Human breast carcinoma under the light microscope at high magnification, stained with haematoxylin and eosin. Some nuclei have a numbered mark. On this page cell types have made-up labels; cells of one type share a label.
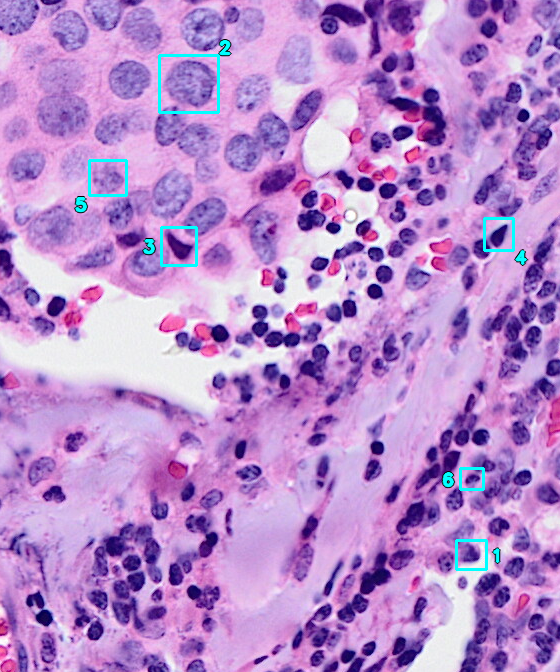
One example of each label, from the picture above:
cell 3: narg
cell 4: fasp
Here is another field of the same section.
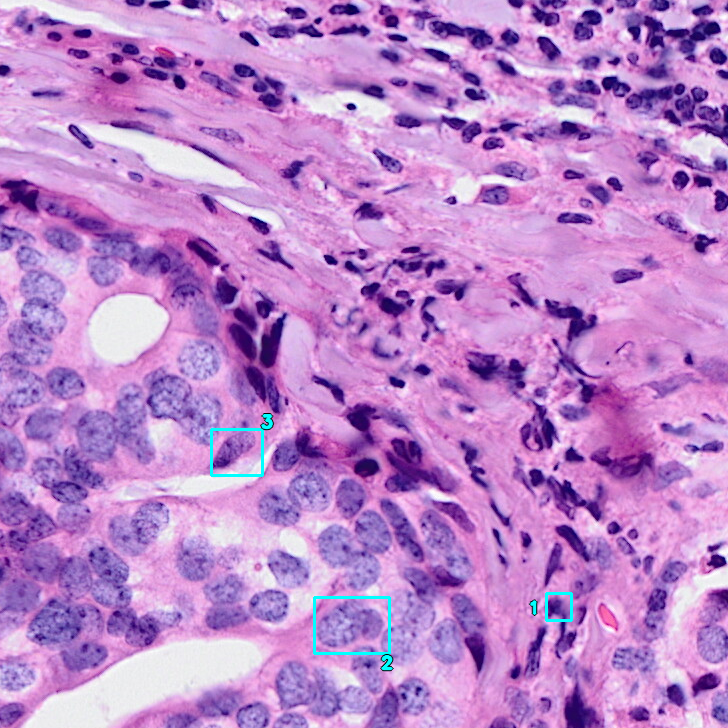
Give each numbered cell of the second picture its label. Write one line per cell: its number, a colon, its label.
1: fasp
2: narg
3: narg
